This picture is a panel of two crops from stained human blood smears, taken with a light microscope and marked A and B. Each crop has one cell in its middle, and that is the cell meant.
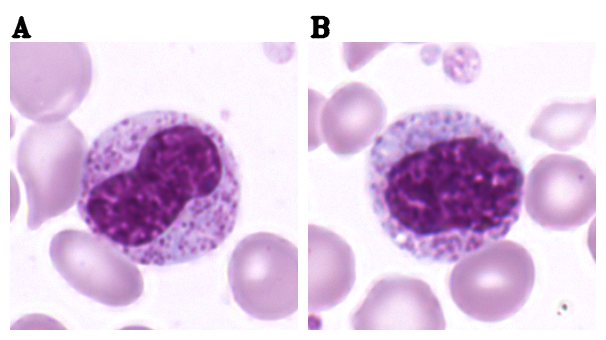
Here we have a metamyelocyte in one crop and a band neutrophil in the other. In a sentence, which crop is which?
Here crop A is a band neutrophil, and crop B is a metamyelocyte.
